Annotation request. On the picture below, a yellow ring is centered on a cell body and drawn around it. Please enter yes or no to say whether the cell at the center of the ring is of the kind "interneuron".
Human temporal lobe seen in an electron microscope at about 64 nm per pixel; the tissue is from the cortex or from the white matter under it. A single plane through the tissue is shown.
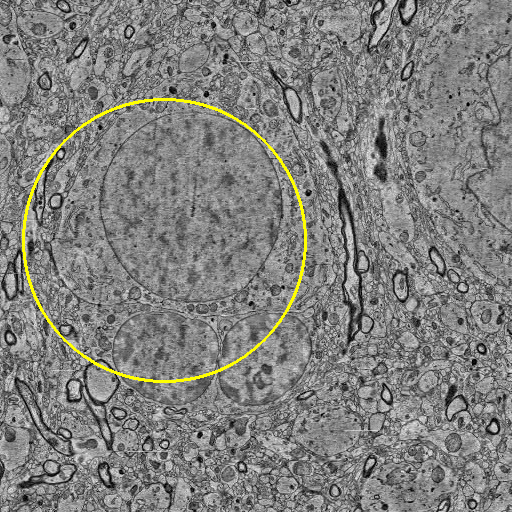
yes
